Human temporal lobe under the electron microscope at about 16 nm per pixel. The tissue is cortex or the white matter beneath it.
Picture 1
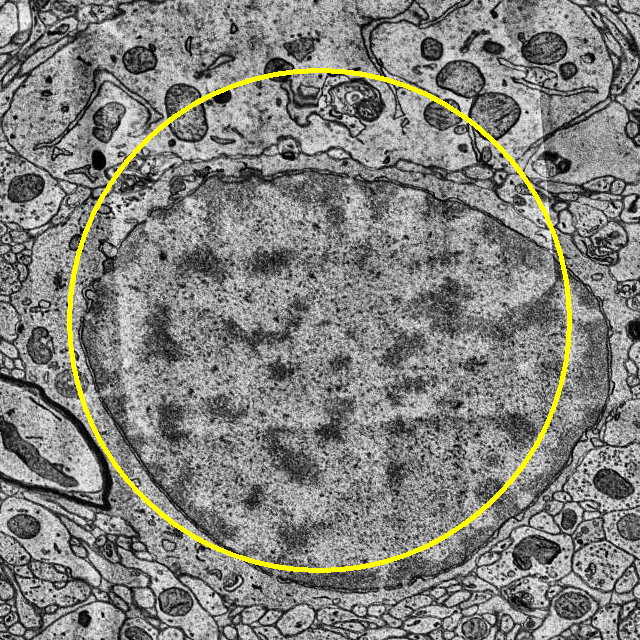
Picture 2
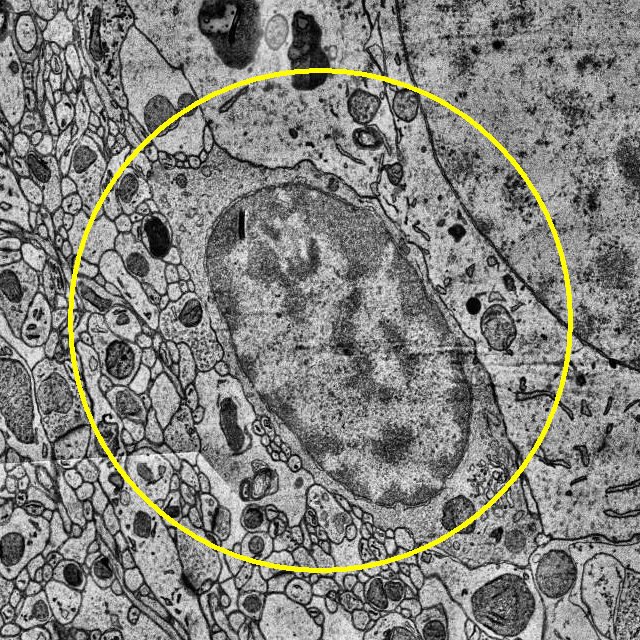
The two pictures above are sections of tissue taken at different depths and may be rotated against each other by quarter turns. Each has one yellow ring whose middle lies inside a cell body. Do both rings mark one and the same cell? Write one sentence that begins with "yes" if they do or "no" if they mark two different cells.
No, each of the two rings holds a different cell.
